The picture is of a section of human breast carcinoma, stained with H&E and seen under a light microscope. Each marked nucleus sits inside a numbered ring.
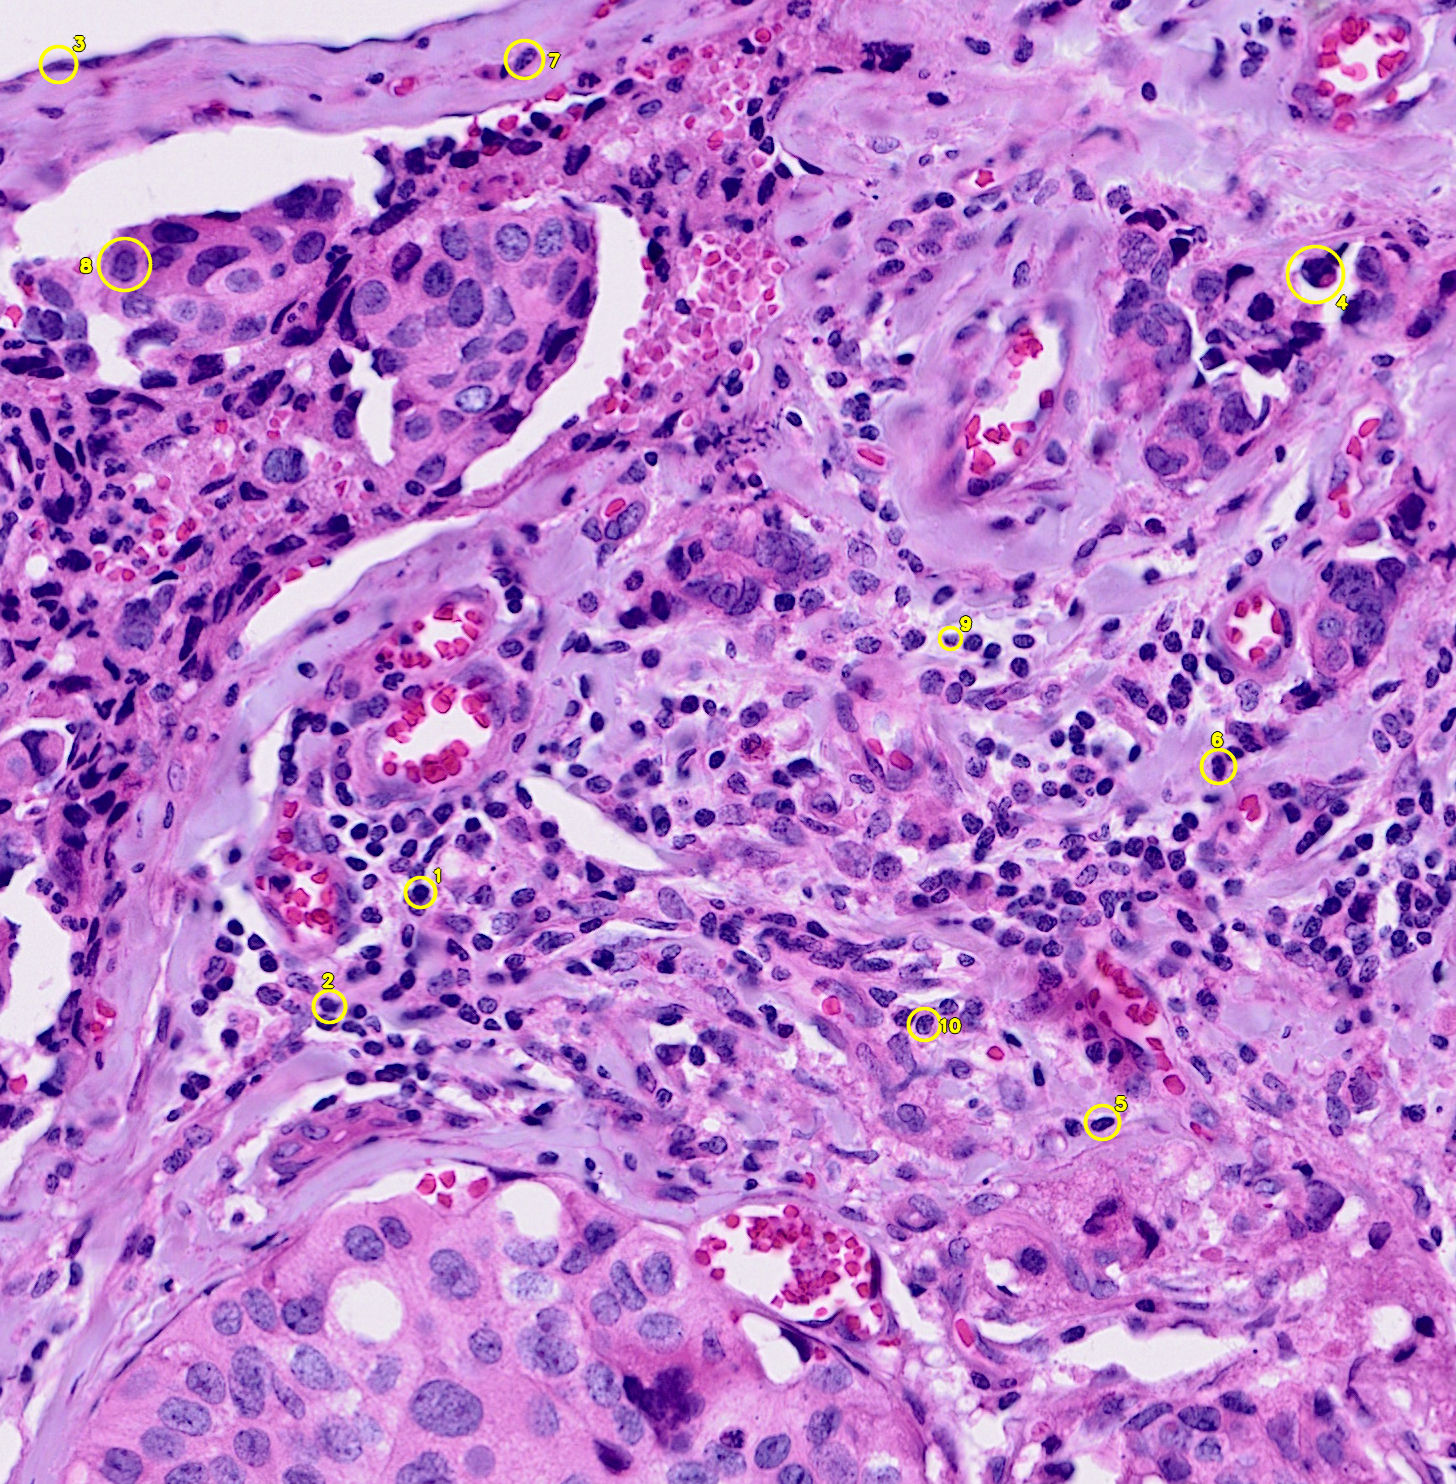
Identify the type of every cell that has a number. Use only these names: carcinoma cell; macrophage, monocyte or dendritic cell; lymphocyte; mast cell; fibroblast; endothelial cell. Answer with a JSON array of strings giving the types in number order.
["lymphocyte", "lymphocyte", "fibroblast", "carcinoma cell", "lymphocyte", "lymphocyte", "mast cell", "carcinoma cell", "lymphocyte", "lymphocyte"]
